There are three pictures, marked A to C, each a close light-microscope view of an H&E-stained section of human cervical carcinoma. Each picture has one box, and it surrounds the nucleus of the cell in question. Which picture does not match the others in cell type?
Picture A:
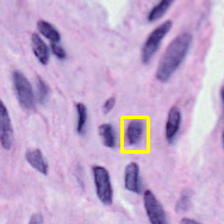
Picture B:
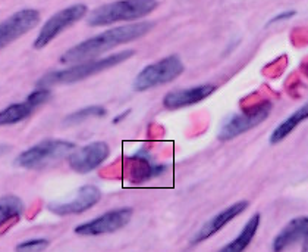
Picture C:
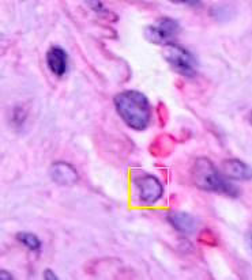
A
